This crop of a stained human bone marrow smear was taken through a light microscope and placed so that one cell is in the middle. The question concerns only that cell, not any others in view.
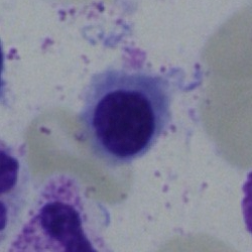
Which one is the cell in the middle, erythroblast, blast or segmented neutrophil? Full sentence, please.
This particular crop is centered on an erythroblast.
